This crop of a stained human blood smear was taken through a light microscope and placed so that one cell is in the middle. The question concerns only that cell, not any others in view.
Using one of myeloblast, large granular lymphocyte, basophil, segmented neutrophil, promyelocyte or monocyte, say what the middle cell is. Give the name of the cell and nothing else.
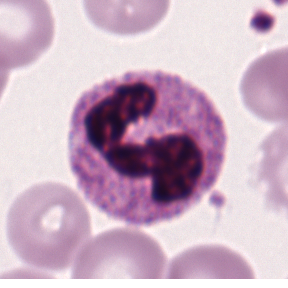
segmented neutrophil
